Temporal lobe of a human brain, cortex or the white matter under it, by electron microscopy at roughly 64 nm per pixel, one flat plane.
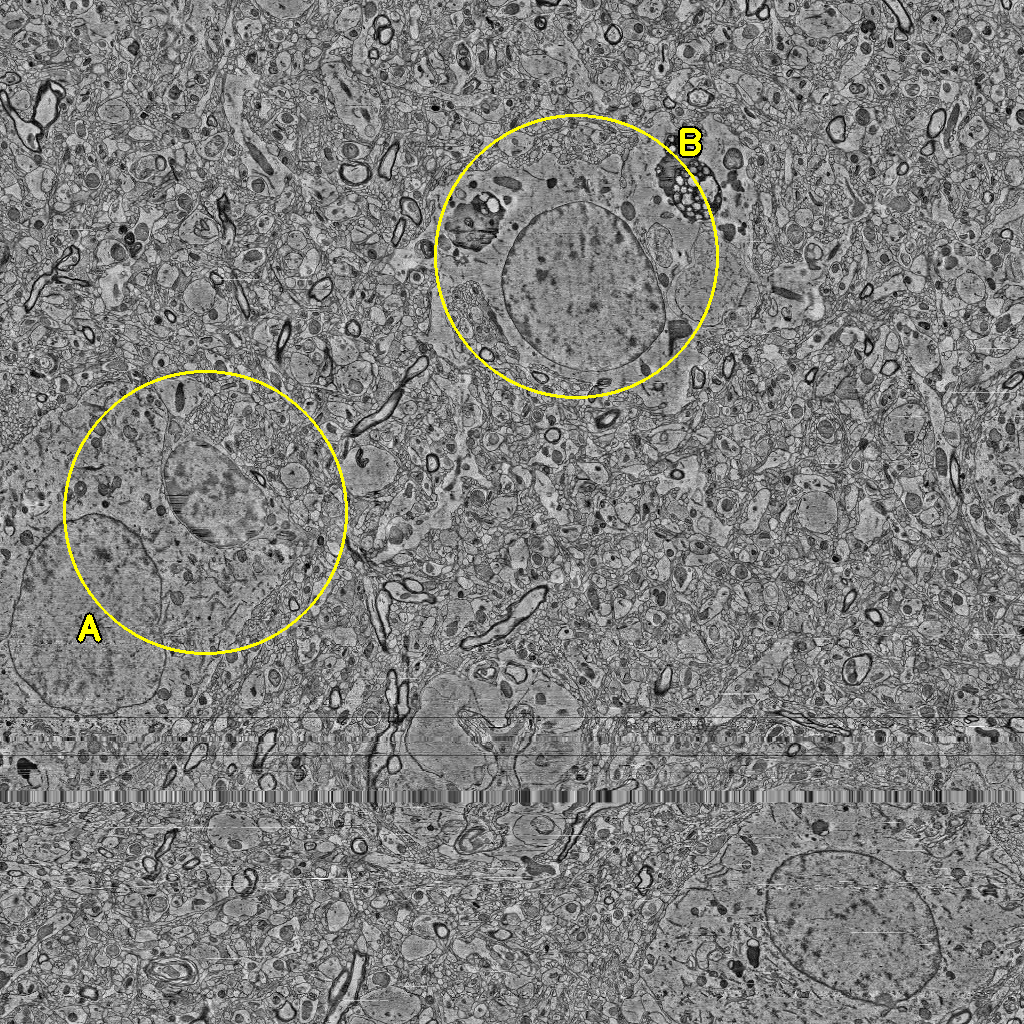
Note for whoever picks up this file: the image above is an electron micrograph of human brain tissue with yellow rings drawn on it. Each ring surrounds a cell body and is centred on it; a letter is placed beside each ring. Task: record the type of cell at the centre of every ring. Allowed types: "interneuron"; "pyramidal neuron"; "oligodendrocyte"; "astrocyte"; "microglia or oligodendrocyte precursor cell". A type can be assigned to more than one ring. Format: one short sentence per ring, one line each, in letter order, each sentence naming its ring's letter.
The ring marked A is centred on an oligodendrocyte.
The ring marked B is centred on an astrocyte.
